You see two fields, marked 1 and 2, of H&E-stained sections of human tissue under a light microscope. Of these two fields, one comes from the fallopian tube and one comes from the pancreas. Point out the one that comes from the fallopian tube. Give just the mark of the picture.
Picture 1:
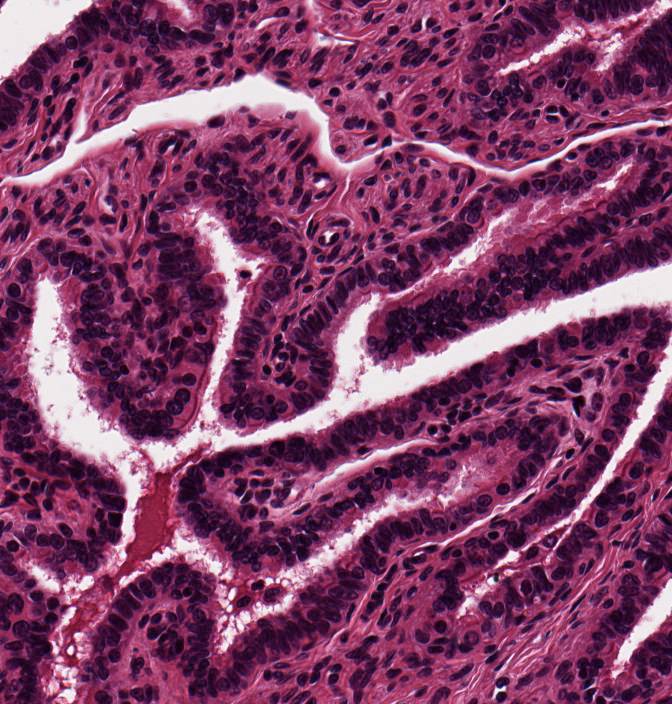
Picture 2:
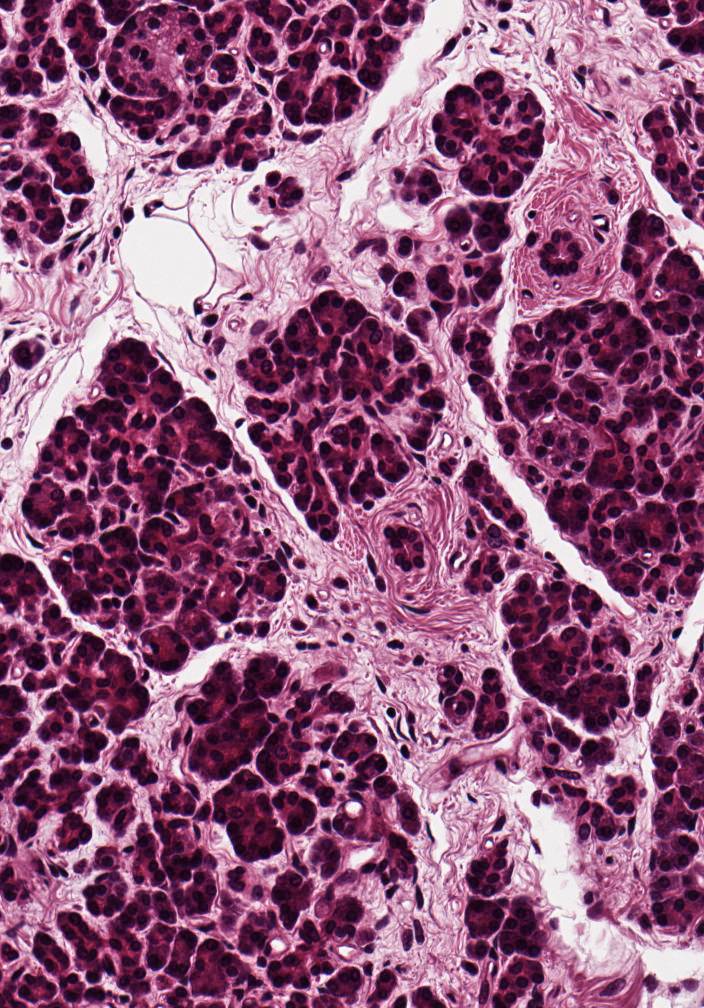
1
